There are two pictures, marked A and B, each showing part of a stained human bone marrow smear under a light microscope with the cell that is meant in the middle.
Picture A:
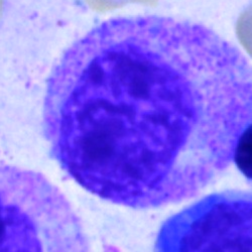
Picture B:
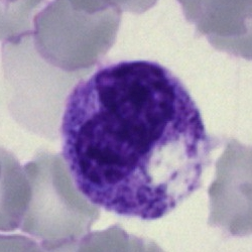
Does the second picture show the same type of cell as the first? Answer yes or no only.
no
